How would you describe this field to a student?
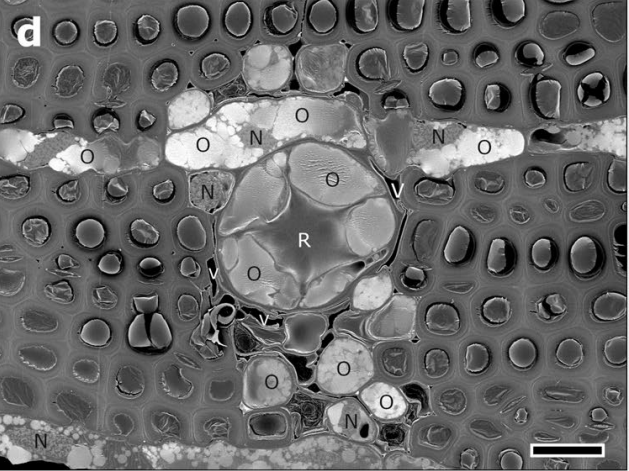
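A resin canal surrounded by thin-walled parenchyma cells and rows of ray cells lies among thick-walled tracheids. The contents of the parenchyma cells are smeared pale masses with blurred outlines rather than distinct droplets, and material inside the tracheid lumens is separated from the walls. The thin-walled cells and spaces around the canal look compressed and distorted.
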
